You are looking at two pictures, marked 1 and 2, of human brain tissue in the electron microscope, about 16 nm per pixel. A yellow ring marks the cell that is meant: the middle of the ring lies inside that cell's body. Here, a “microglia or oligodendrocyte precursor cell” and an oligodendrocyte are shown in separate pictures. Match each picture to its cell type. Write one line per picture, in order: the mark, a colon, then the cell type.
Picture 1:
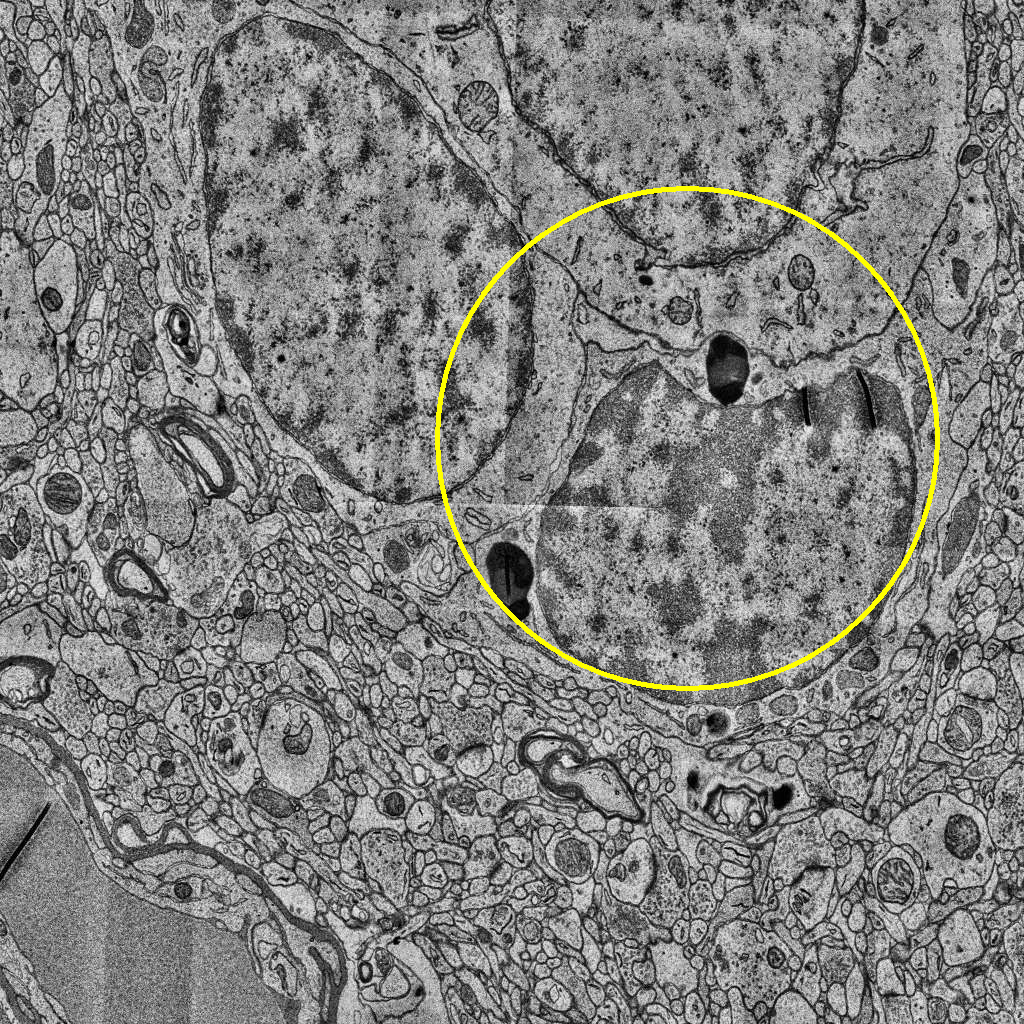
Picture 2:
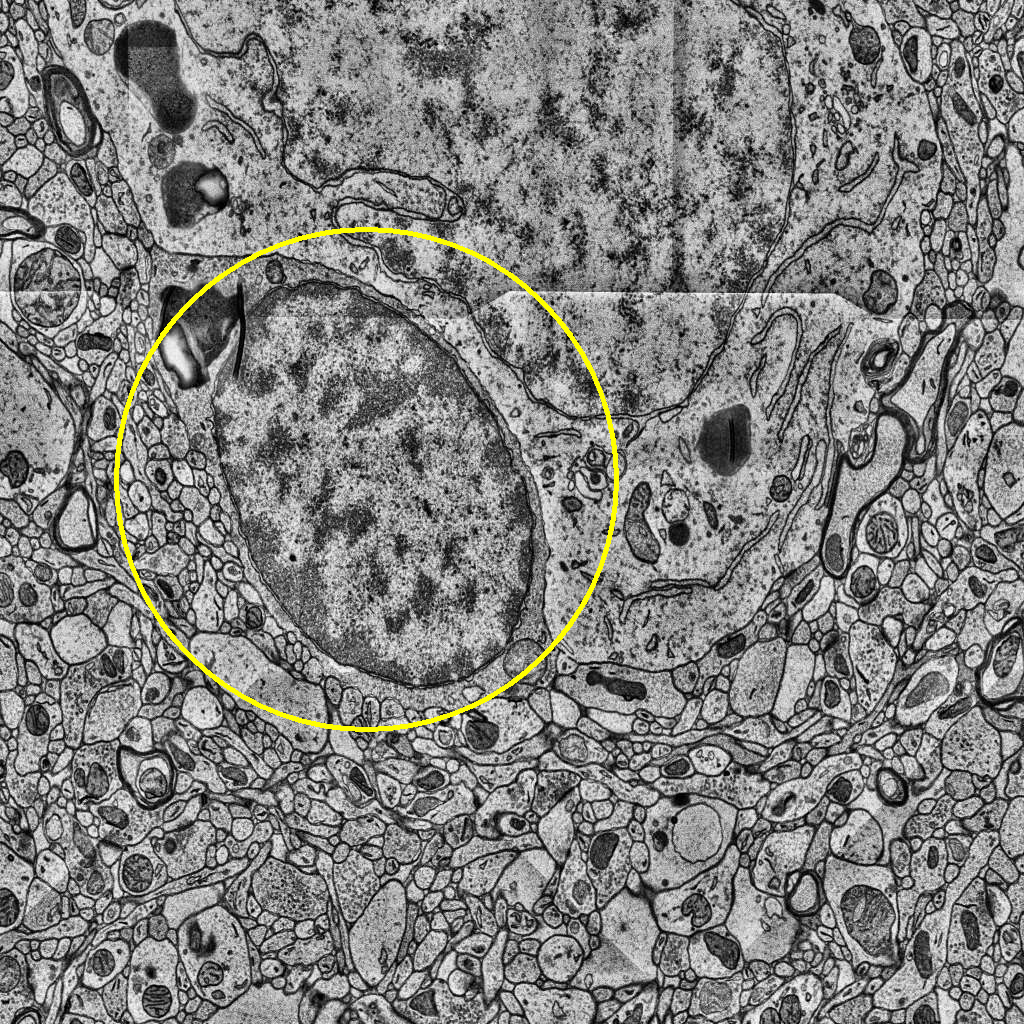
1: microglia or oligodendrocyte precursor cell
2: oligodendrocyte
